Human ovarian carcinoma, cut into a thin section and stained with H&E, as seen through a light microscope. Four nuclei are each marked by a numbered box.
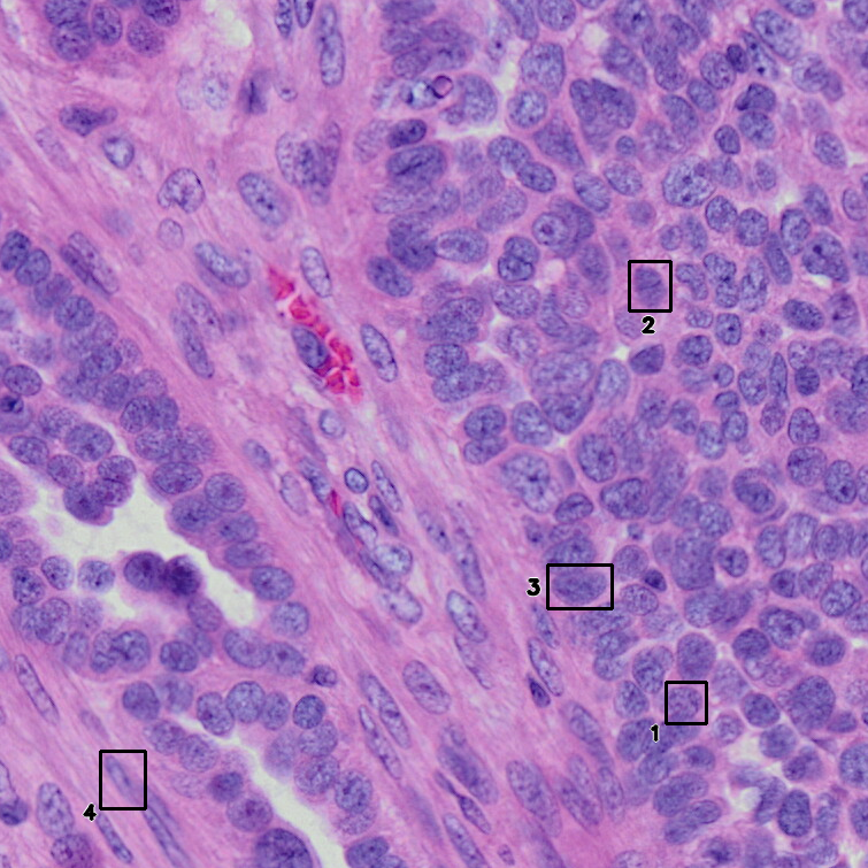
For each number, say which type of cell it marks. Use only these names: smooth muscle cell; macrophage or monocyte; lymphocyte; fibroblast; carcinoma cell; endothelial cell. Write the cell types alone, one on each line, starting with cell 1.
carcinoma cell
carcinoma cell
carcinoma cell
fibroblast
